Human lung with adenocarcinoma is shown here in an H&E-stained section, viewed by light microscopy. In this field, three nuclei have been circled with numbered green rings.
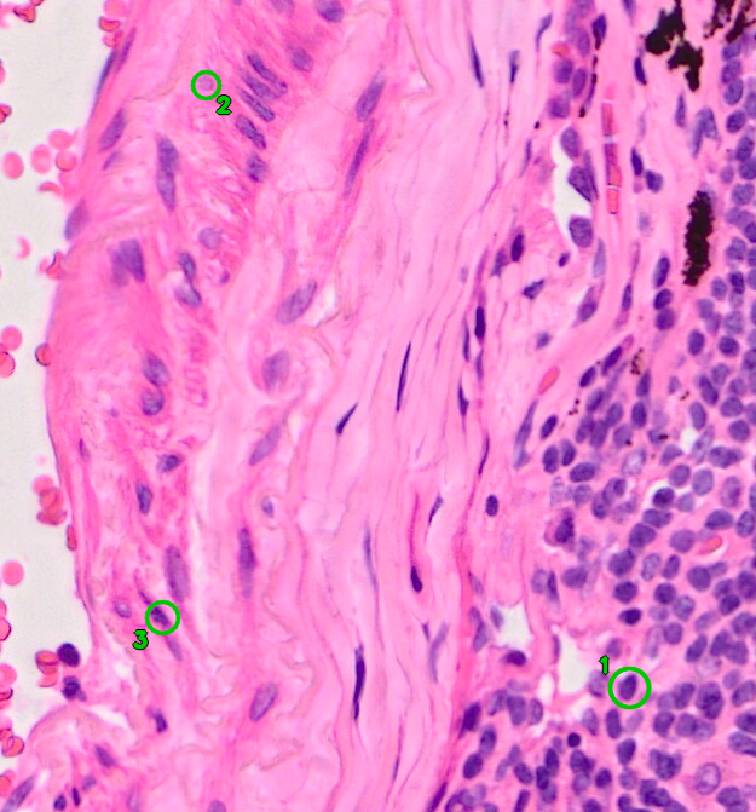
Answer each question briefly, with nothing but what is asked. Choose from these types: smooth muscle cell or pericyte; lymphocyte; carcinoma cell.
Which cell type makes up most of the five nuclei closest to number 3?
smooth muscle cell or pericyte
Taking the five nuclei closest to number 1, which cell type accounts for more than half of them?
lymphocyte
